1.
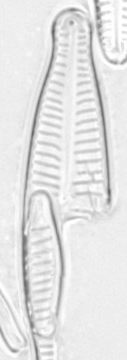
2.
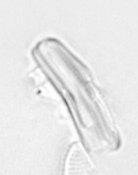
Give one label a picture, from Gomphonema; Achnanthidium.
Picture 1: Gomphonema
Picture 2: Achnanthidium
